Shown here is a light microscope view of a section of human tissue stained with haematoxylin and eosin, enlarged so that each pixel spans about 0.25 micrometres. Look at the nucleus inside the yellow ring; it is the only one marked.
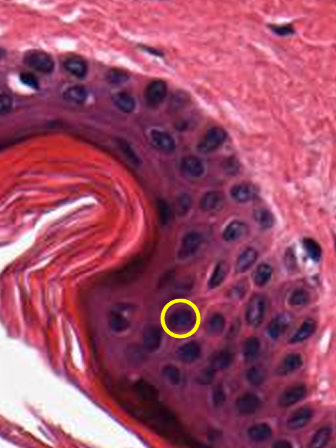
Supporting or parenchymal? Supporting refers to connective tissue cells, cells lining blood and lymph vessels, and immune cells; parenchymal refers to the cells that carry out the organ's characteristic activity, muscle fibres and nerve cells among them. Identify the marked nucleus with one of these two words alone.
parenchymal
